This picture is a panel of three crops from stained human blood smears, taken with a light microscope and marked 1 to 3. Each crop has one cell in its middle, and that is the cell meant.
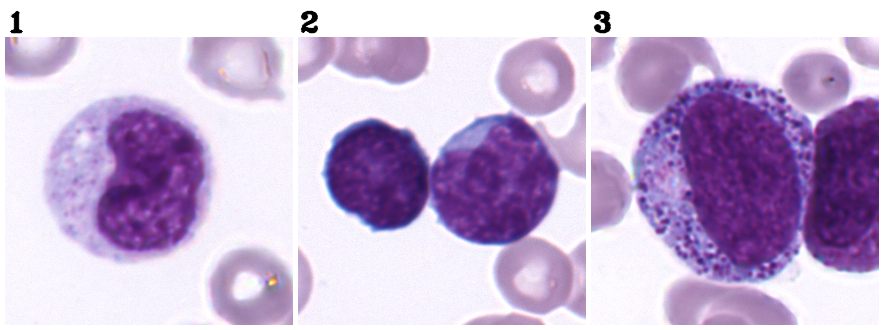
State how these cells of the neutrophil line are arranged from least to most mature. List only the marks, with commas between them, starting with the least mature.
2, 3, 1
